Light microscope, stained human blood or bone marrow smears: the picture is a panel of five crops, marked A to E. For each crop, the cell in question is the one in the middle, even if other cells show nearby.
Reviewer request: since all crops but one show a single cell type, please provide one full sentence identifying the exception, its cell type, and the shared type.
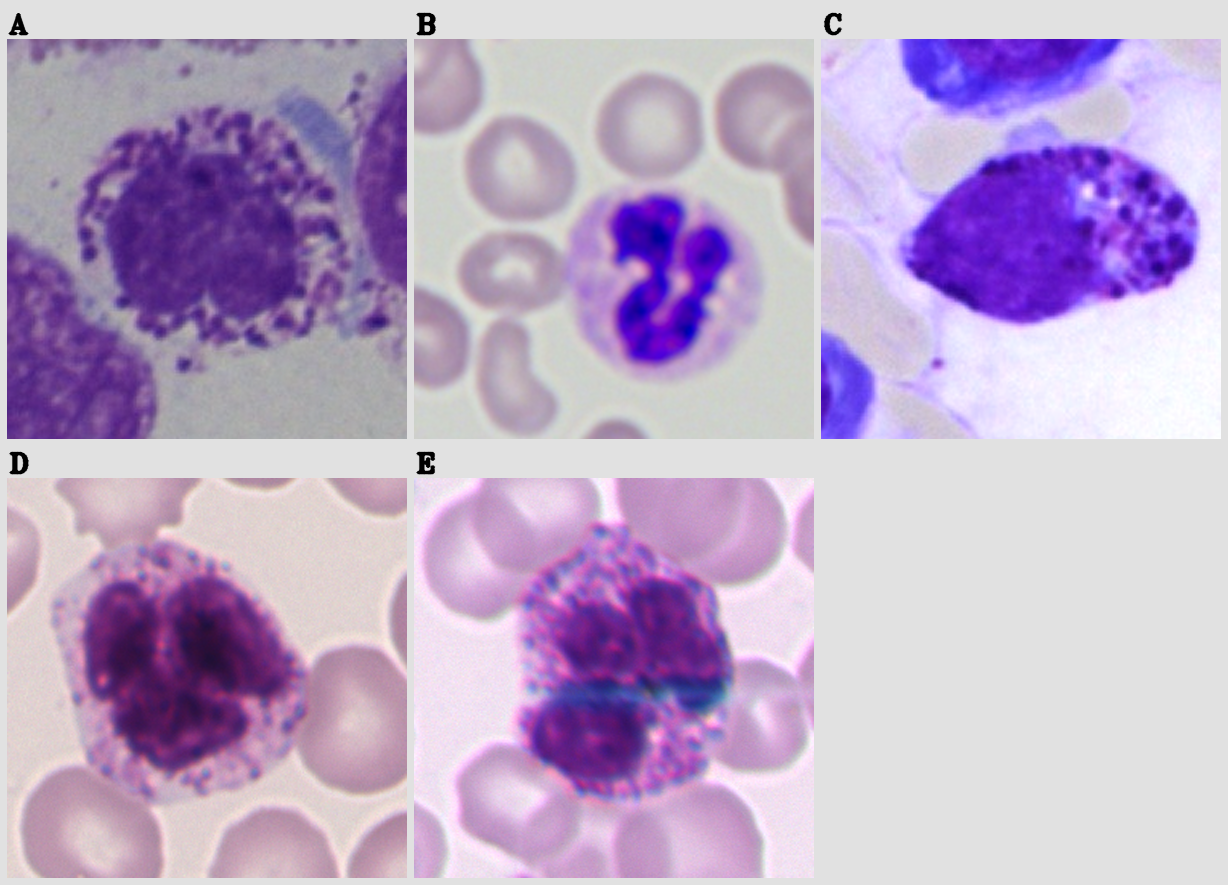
The exception is crop B: it is a segmented neutrophil, and the others are all basophils.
